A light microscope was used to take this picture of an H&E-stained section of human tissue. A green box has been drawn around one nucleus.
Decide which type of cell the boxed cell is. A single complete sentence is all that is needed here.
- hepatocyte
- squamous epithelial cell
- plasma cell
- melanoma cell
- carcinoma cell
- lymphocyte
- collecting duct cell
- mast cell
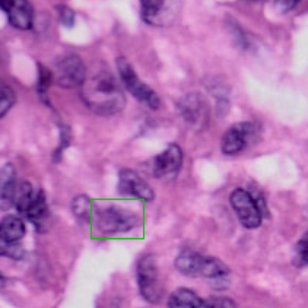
Considered by cell type, the boxed cell is a melanoma cell.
